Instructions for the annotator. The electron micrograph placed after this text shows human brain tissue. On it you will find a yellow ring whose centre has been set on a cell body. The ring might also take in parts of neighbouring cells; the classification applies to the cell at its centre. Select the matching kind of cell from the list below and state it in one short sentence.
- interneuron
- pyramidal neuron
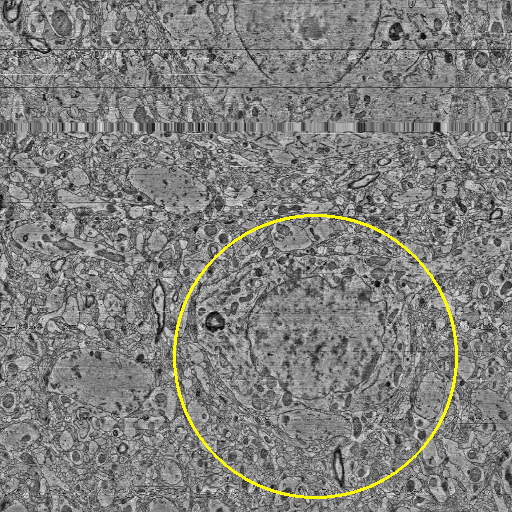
The ring is drawn on the cell body of an interneuron.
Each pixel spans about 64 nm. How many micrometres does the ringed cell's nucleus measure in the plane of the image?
Approximately 9 micrometres across in this plane.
